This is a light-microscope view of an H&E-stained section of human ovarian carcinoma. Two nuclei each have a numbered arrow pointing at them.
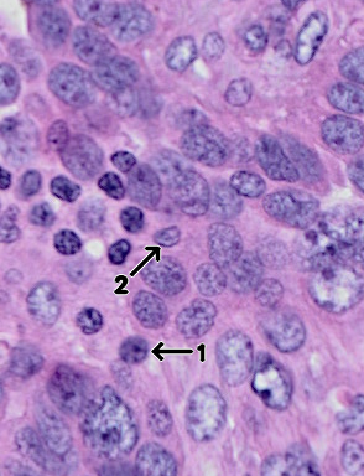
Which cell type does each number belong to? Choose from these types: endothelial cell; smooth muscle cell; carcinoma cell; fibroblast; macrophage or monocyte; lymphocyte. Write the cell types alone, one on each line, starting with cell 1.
lymphocyte
macrophage or monocyte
